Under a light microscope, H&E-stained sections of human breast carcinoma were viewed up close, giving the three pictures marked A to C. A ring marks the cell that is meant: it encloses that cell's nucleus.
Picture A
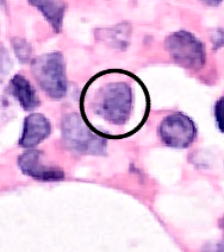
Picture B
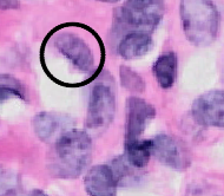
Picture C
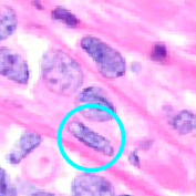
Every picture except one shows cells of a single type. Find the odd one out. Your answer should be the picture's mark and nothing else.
C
